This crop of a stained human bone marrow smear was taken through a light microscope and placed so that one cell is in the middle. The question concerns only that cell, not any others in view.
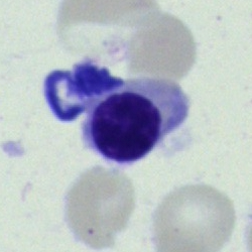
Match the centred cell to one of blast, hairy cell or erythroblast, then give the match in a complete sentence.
For this crop, the cell in the middle is an erythroblast.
